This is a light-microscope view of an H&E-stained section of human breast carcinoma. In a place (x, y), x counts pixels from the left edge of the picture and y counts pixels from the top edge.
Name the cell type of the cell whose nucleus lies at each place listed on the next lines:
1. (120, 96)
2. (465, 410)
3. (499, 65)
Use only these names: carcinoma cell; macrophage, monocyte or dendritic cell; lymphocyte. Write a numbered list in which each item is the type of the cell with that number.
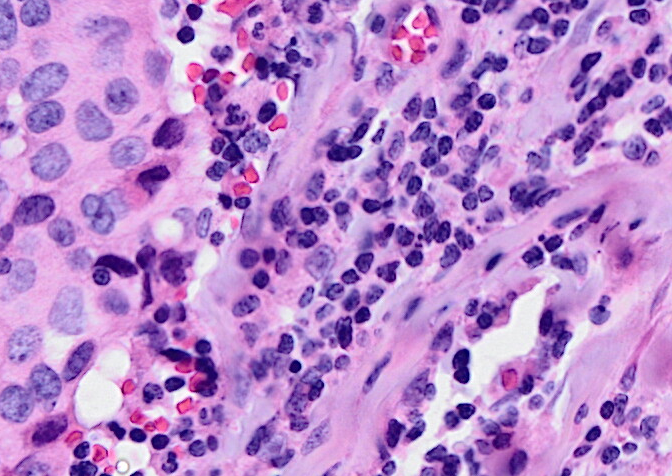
1. carcinoma cell
2. lymphocyte
3. lymphocyte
